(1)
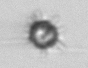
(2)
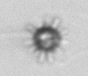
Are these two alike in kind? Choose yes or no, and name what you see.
Yes. Rhabdosphaera.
